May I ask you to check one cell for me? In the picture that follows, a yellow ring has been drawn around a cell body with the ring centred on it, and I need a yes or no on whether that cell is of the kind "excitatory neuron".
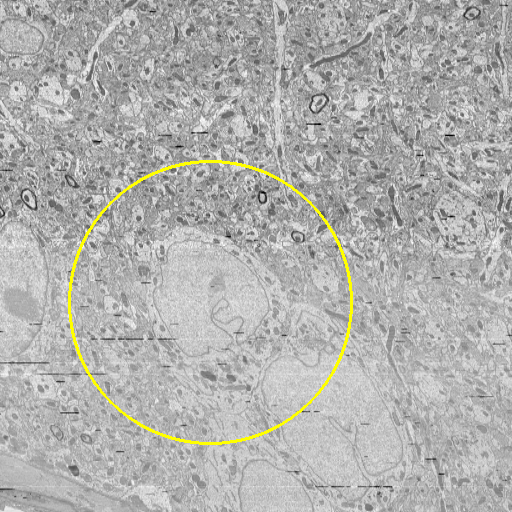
No, it is some other kind of cell.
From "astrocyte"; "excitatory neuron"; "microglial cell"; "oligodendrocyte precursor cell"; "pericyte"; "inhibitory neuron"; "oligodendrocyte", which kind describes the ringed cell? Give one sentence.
The correct answer is that the cell is an inhibitory neuron.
